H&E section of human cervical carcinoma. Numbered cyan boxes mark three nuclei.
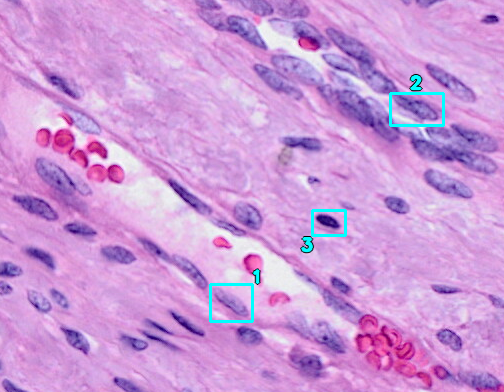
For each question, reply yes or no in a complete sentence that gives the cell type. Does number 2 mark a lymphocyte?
No, calling cell 2 a lymphocyte is incorrect; it is an endothelial cell.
